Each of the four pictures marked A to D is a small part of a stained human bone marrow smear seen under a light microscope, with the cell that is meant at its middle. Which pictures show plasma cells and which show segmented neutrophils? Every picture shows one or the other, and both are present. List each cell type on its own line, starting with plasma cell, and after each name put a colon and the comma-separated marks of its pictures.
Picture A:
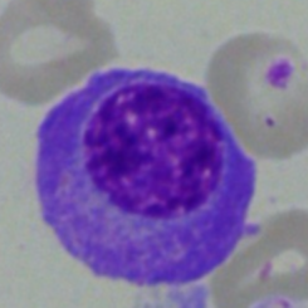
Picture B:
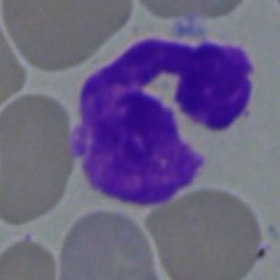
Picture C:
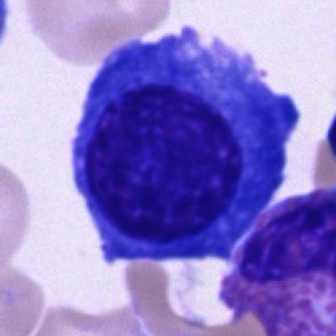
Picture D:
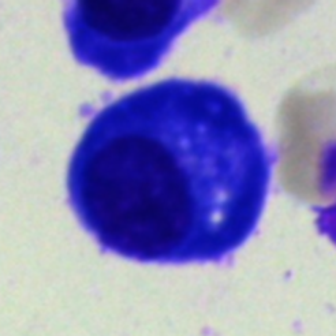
plasma cell: A, C, D
segmented neutrophil: B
